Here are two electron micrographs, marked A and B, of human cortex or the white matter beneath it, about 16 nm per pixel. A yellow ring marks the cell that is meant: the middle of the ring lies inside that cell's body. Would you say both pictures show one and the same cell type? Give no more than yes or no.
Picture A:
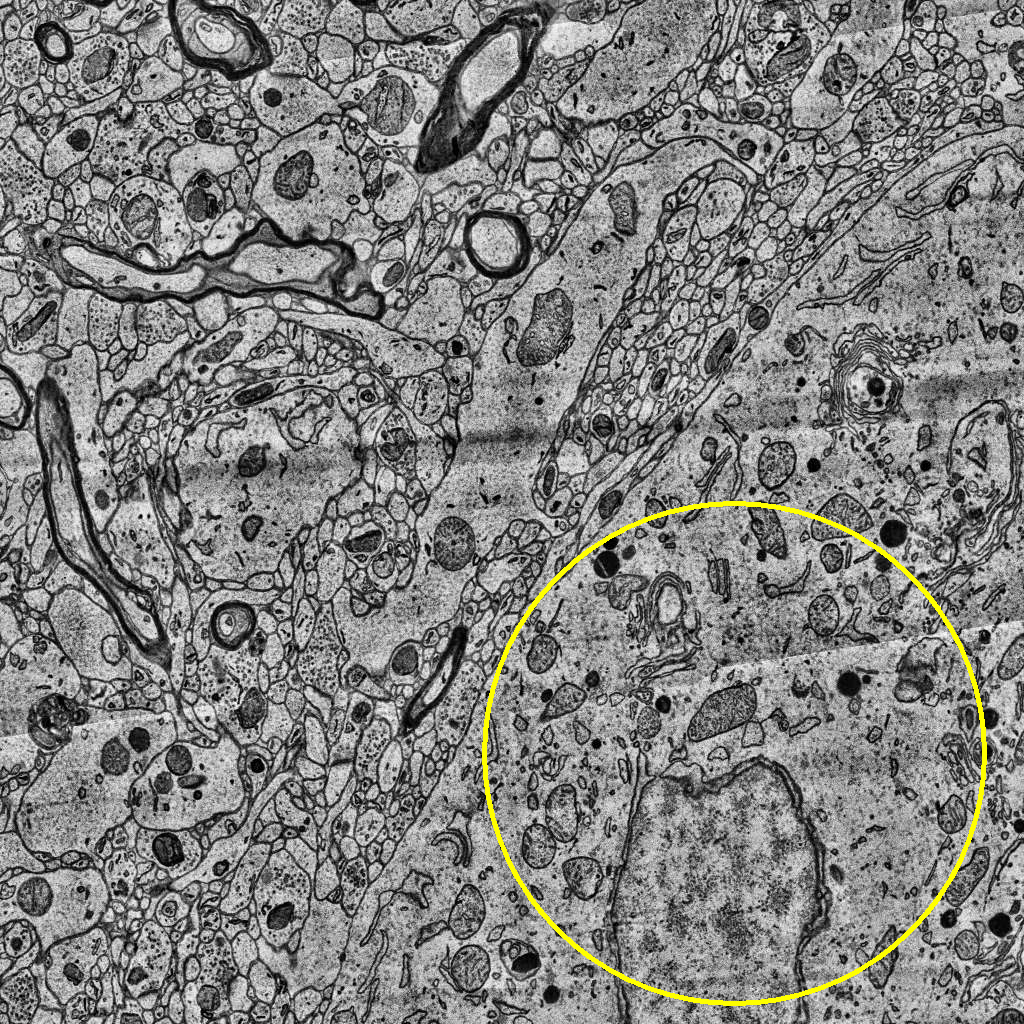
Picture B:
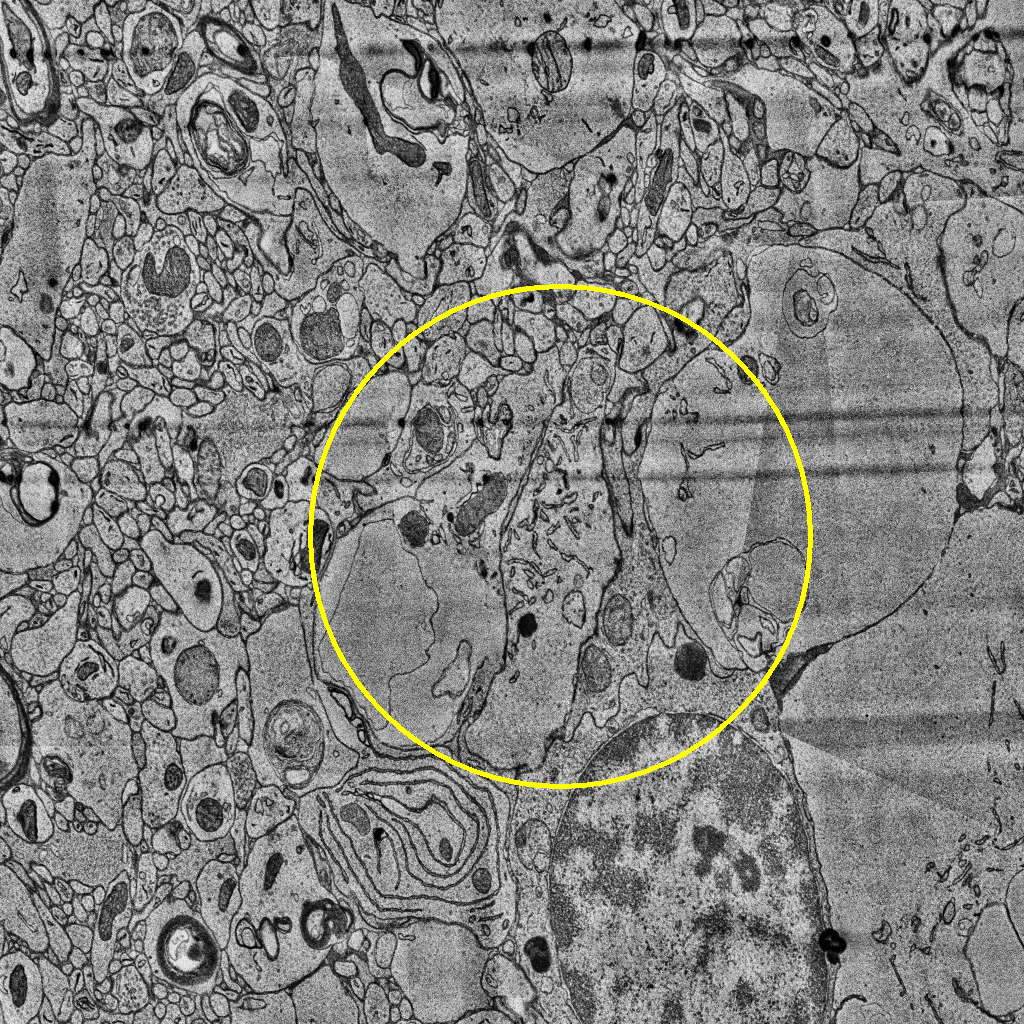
no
